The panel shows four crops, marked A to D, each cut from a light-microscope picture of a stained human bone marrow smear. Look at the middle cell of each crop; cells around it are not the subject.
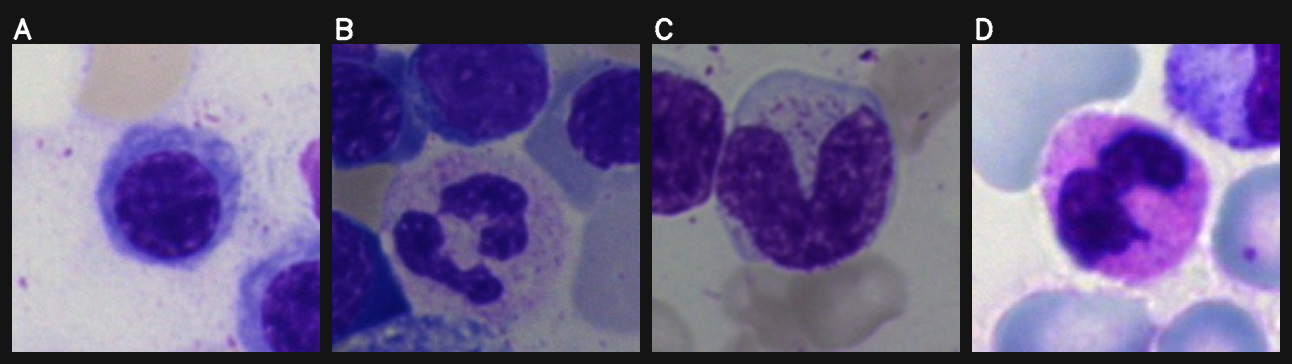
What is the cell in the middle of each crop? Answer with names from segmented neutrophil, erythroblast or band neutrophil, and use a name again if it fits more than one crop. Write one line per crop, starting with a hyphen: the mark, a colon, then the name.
- A: erythroblast
- B: segmented neutrophil
- C: band neutrophil
- D: segmented neutrophil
